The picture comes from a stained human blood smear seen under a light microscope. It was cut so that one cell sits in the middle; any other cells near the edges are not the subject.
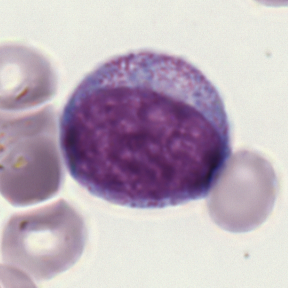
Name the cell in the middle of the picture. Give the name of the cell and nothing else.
promyelocyte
